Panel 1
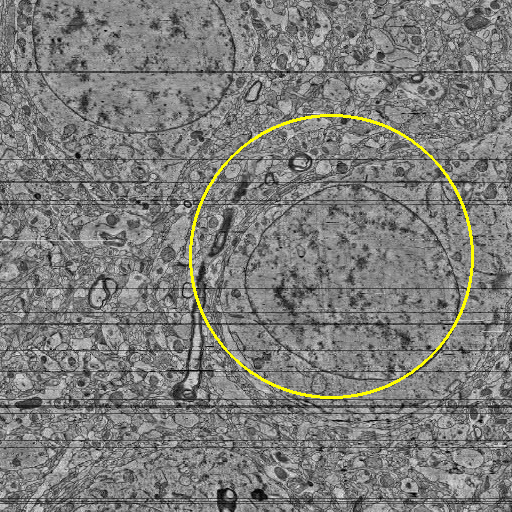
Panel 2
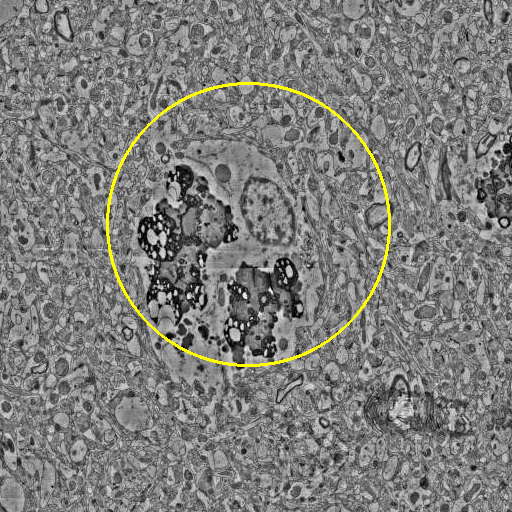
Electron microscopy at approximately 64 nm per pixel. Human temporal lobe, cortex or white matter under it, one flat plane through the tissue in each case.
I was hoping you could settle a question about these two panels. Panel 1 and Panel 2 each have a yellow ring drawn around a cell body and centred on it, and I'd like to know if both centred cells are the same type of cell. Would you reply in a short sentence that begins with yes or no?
No, they are two types of cell.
